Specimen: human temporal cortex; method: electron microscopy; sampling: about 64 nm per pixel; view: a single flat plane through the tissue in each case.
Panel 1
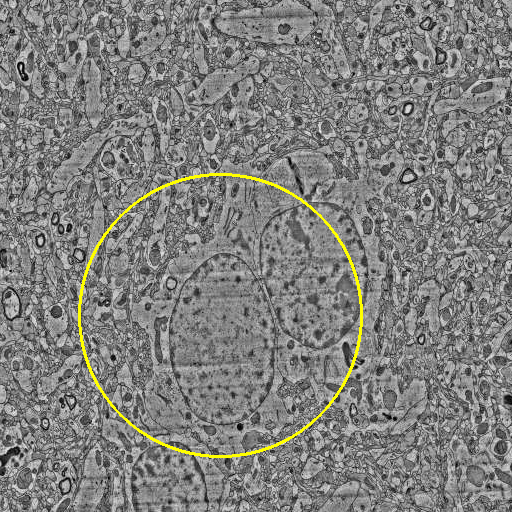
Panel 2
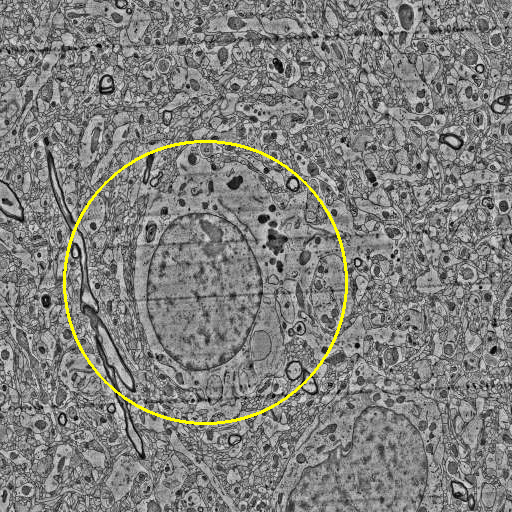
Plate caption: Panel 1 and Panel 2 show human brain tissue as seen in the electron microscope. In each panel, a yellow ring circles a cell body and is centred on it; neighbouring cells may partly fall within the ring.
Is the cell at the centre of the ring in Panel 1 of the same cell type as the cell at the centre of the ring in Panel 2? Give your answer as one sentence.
Yes, the two cells are of the same type.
